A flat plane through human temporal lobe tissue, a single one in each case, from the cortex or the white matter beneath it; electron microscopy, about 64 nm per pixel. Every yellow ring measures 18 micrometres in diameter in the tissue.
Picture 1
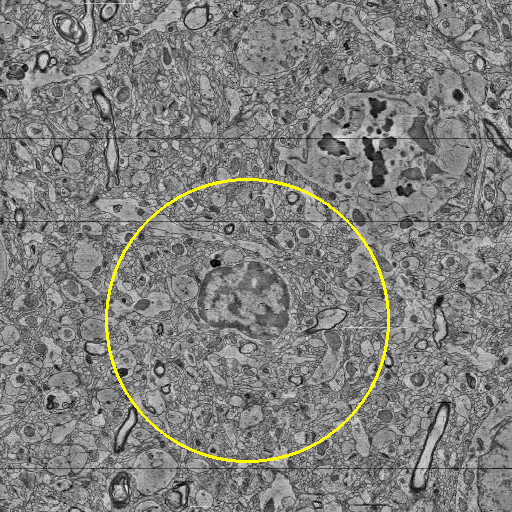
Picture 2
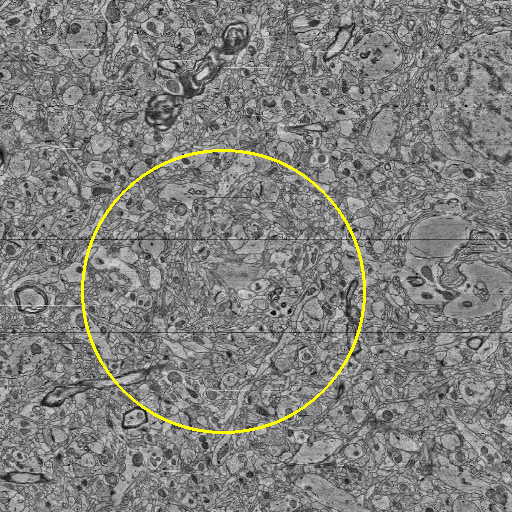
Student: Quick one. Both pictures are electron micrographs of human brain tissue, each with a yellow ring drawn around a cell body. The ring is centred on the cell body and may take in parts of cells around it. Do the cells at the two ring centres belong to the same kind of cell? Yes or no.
no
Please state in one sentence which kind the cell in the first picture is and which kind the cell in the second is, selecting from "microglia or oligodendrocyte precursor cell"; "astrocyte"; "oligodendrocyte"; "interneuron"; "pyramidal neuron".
The first ringed cell is a microglial cell or oligodendrocyte precursor cell, the second ringed cell an oligodendrocyte.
